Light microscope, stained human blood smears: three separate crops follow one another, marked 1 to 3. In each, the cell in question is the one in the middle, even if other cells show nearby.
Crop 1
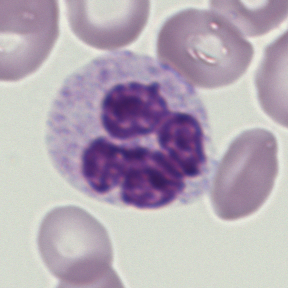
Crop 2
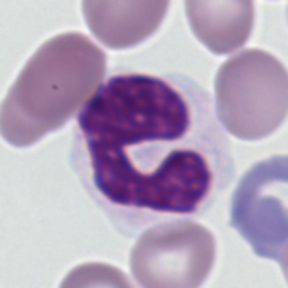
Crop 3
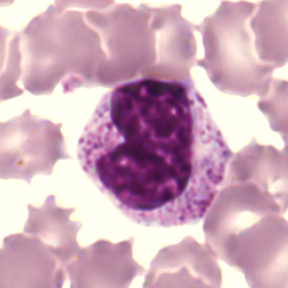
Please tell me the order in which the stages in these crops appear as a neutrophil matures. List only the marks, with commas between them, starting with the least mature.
3, 2, 1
